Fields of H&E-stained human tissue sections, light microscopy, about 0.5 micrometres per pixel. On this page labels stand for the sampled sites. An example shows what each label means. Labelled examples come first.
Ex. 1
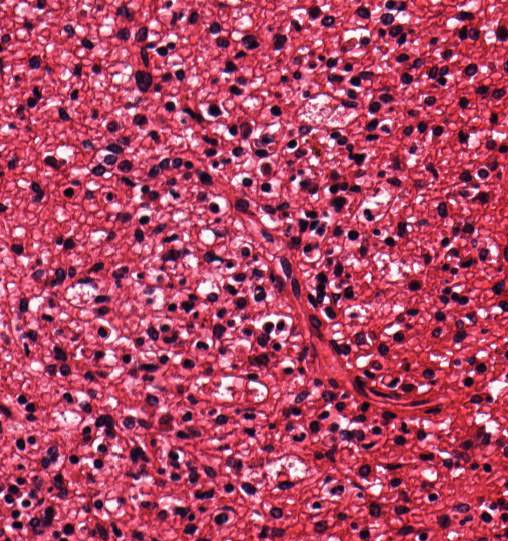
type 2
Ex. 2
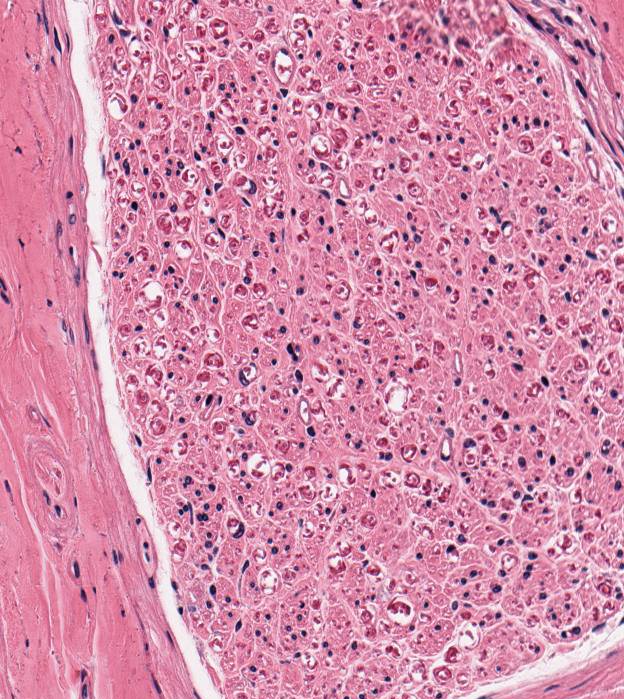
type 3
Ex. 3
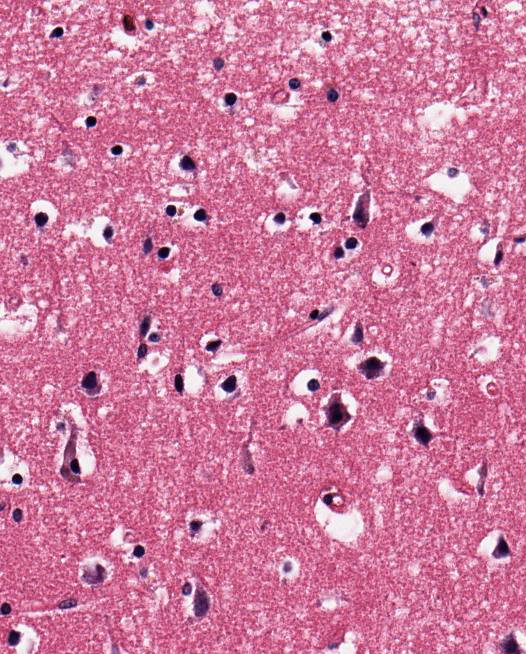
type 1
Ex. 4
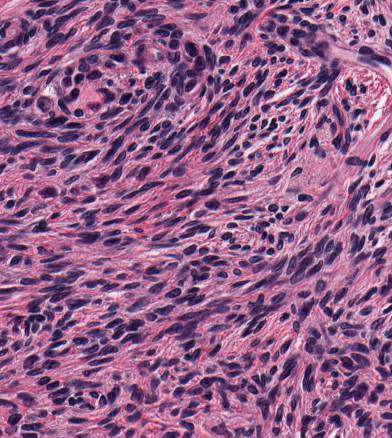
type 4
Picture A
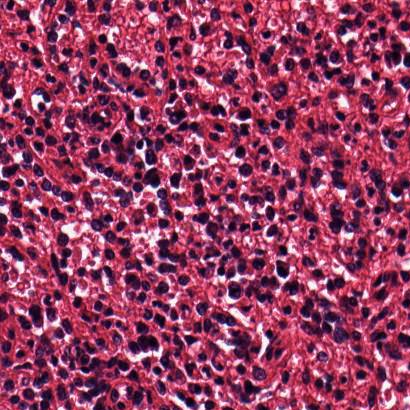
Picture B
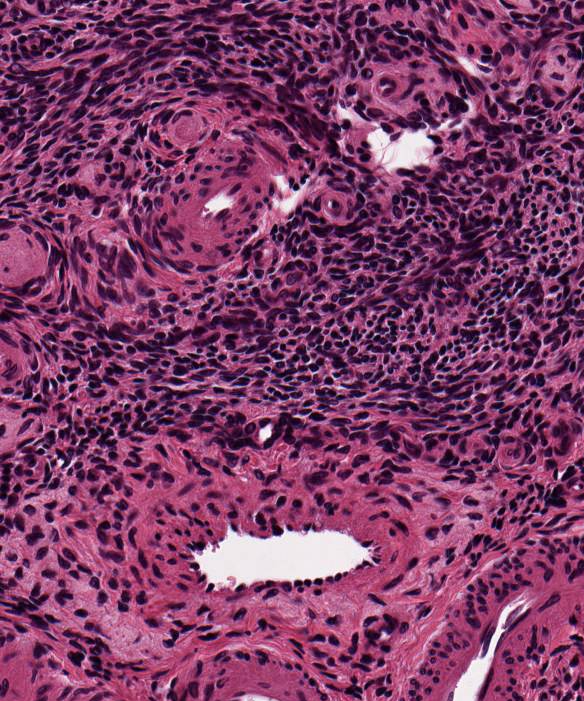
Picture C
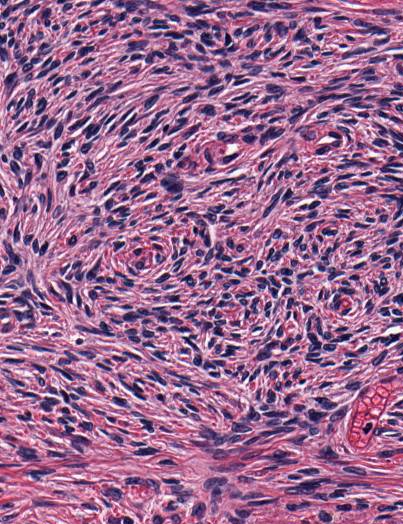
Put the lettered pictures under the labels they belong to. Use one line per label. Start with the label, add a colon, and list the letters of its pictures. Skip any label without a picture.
type 2: A
type 4: B, C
